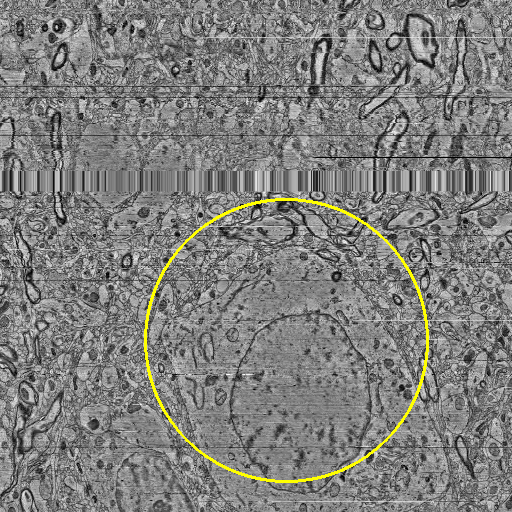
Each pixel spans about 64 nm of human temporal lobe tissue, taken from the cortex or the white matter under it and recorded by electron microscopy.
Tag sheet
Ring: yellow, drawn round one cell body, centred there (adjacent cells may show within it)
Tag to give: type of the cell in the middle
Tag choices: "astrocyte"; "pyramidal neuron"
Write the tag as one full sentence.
I tag the cell centred in the yellow ring as a pyramidal neuron in this picture.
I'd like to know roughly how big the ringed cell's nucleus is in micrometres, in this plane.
In this plane the nucleus is about 12 micrometres by 9.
